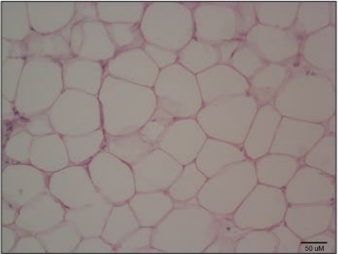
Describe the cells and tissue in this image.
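This is adipose tissue made up of closely packed adipocytes. Few nuclei are visible, appearing as small dark purple dots flattened at the edges of some cells. The cells are fairly uniform in size across the field.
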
